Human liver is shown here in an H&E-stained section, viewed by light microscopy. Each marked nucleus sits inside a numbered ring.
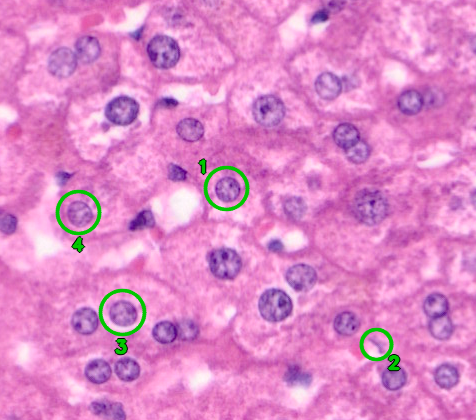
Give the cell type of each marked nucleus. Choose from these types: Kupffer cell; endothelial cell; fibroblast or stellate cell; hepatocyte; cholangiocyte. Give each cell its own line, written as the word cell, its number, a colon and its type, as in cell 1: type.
cell 1: hepatocyte
cell 2: endothelial cell
cell 3: hepatocyte
cell 4: hepatocyte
